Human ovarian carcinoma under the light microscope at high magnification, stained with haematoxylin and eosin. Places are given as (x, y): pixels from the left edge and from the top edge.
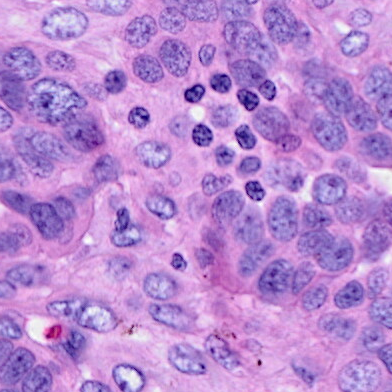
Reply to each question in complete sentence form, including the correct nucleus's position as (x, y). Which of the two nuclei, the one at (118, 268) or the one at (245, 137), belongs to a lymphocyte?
Between the two nuclei, the one sitting at (245, 137) belongs to a lymphocyte.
